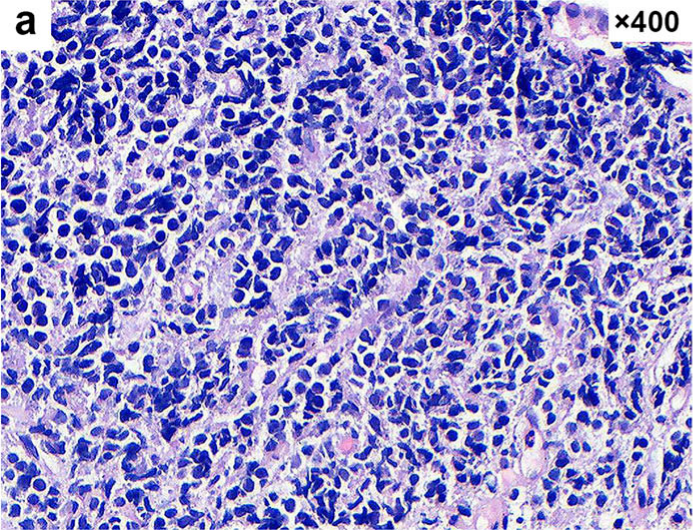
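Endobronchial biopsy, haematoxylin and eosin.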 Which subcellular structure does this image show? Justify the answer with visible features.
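Large round, oval or lobulated nuclei. The nuclei stain dark blue and take up most of each cell. Nuclear shapes vary from round to oval to irregular.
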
